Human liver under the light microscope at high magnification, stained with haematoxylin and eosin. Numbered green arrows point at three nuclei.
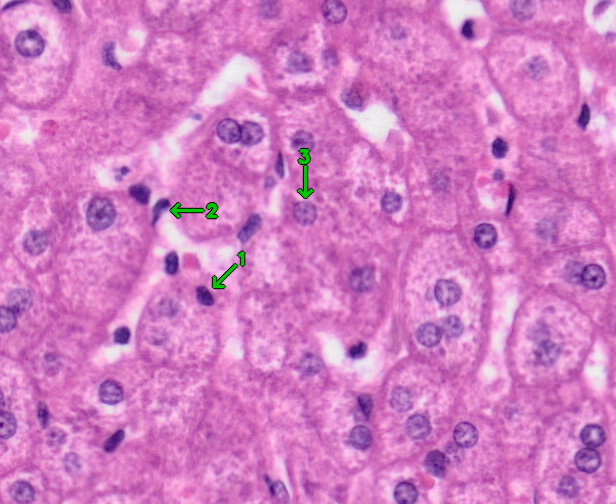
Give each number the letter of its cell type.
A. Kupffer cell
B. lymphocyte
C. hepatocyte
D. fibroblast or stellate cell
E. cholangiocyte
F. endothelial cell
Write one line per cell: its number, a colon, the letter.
1: D
2: F
3: C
